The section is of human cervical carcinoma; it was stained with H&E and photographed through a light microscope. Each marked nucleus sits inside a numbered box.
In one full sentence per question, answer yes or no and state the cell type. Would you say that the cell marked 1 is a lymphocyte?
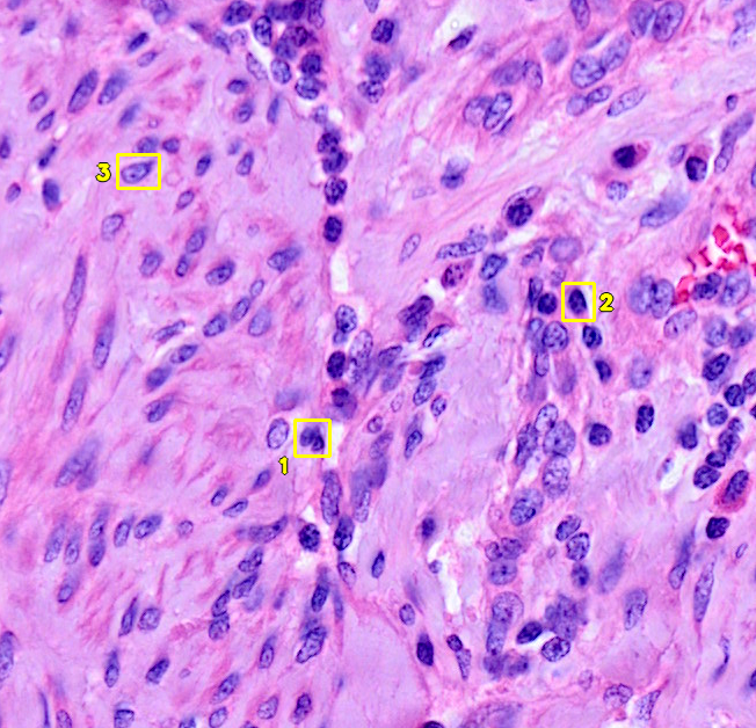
Yes, the cell that has number 1 is a lymphocyte.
